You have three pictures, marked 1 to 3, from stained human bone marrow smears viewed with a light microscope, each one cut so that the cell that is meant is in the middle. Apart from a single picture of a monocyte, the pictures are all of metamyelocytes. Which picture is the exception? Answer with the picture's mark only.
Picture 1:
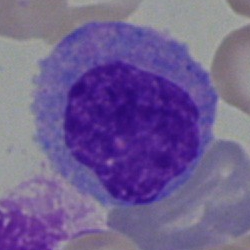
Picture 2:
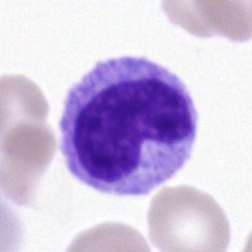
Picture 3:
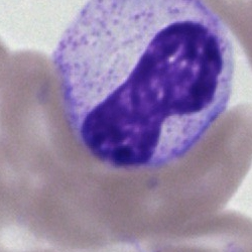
1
